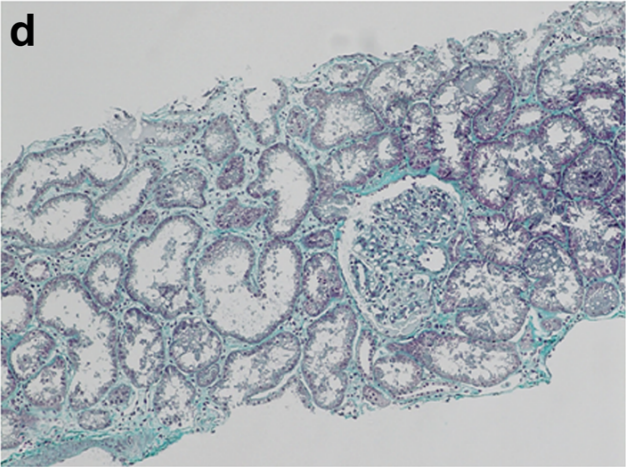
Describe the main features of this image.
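A narrow core of renal cortex shows many renal tubules packed closely together, with a single glomerulus lying among them. Many tubules have wide open lumens lined by a pale, purple-staining epithelium, some of it flattened. Thin blue-green strands of connective tissue run between the tubules. The glomerulus is round and sits within a clear rim bounded by its capsule.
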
